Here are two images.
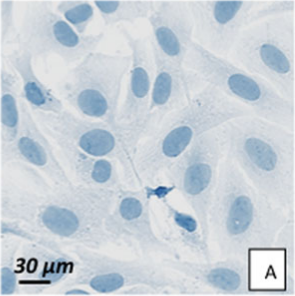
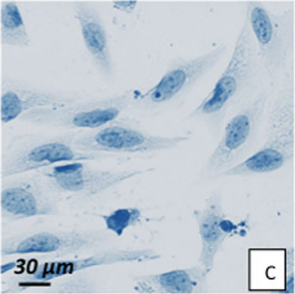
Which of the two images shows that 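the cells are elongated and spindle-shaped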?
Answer: The second image.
